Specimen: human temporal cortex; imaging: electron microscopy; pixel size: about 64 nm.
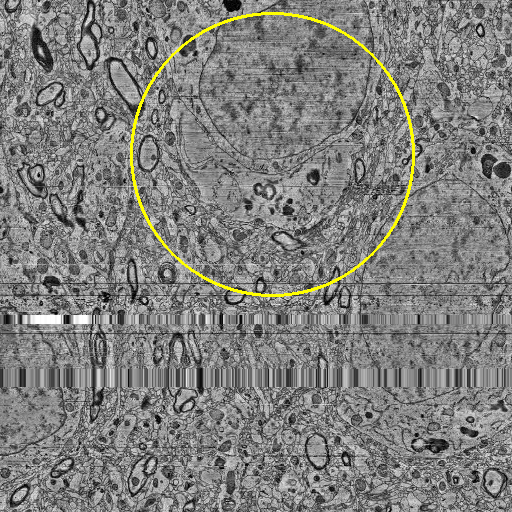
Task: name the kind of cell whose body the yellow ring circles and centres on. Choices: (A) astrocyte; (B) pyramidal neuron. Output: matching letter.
B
